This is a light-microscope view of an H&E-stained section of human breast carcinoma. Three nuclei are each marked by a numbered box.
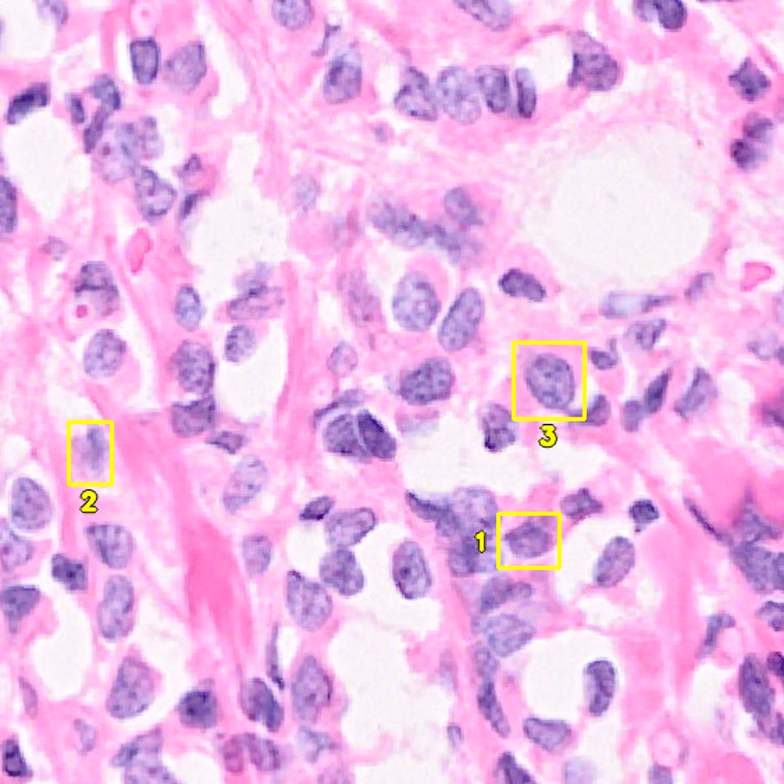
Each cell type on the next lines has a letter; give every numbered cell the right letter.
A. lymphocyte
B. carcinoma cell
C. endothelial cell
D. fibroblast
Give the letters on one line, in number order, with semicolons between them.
B; D; B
